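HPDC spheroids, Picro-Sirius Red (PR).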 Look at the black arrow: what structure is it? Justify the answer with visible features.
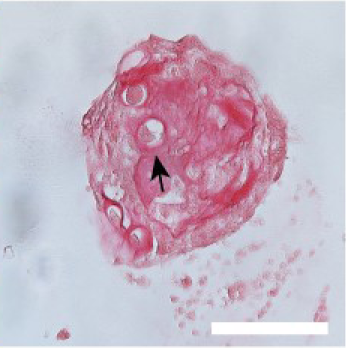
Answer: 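The arrow points to a small round clear space within the red-stained matrix. Several similar rounded empty spaces lie scattered in the red matrix. The answer: lacuna.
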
